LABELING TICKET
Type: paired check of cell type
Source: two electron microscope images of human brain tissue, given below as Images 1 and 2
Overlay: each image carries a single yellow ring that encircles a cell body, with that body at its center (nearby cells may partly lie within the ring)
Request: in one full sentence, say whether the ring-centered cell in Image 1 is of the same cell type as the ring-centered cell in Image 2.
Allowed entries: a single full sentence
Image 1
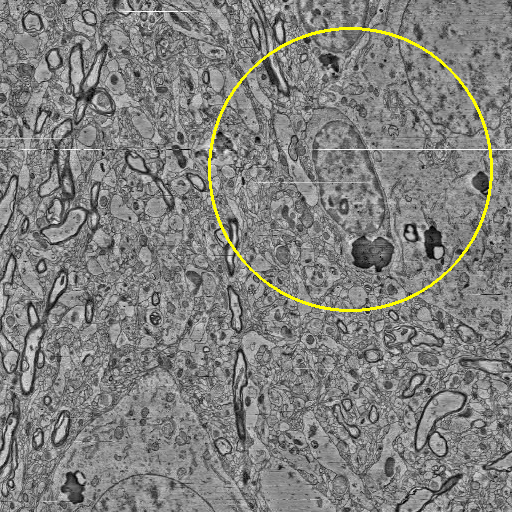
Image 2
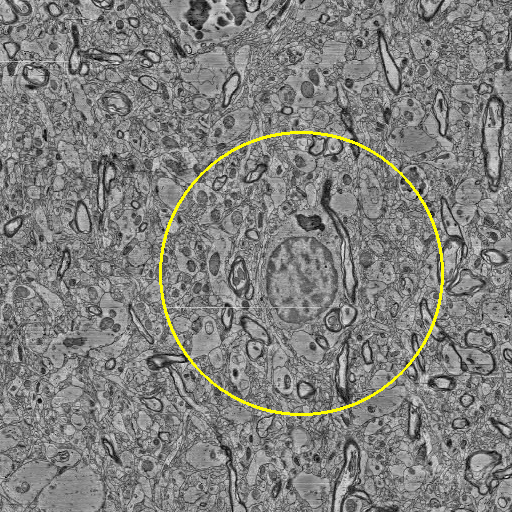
Yes, the cells centered in the rings of Image 1 and Image 2 share one type.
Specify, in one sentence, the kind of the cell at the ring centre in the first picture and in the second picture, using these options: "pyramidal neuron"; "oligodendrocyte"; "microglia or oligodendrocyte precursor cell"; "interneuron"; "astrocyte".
In the first picture and in the second, the ring is centred on an oligodendrocyte.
